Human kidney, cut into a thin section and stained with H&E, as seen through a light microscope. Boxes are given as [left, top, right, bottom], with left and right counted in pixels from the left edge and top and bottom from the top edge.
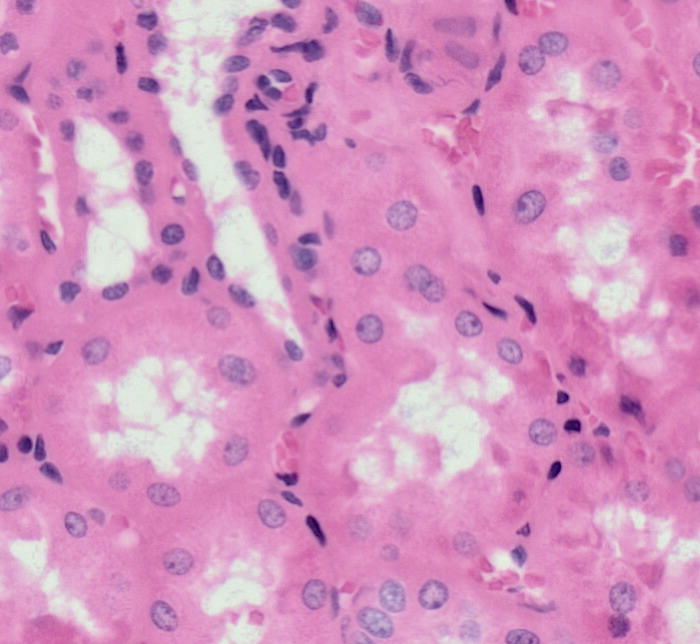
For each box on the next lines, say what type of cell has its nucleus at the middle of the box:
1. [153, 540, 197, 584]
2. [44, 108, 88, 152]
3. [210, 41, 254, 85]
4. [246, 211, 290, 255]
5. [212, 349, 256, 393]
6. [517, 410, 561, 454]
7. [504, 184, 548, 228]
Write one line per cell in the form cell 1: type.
cell 1: proximal tubule cell
cell 2: loop of Henle or distal tubule cell
cell 3: loop of Henle or distal tubule cell
cell 4: loop of Henle or distal tubule cell
cell 5: proximal tubule cell
cell 6: proximal tubule cell
cell 7: proximal tubule cell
